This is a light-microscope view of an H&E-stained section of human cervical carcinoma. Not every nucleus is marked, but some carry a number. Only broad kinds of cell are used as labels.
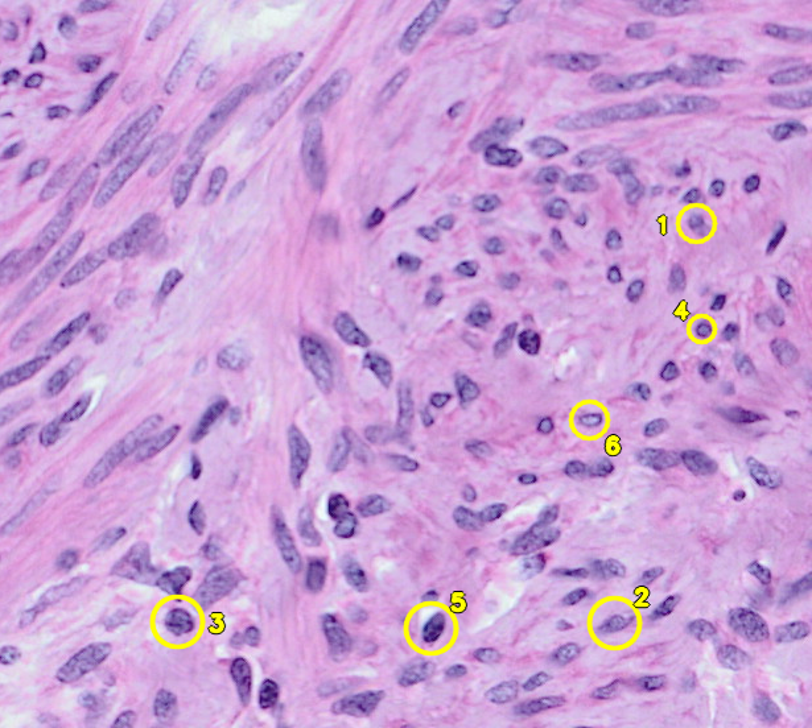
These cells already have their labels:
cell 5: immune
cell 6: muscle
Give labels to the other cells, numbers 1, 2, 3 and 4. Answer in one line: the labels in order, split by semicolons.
muscle; muscle; immune; muscle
